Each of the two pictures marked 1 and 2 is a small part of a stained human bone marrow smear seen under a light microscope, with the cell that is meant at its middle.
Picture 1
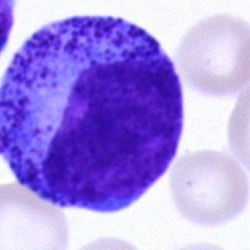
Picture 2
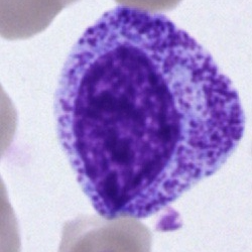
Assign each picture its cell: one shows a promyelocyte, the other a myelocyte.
1: promyelocyte
2: myelocyte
